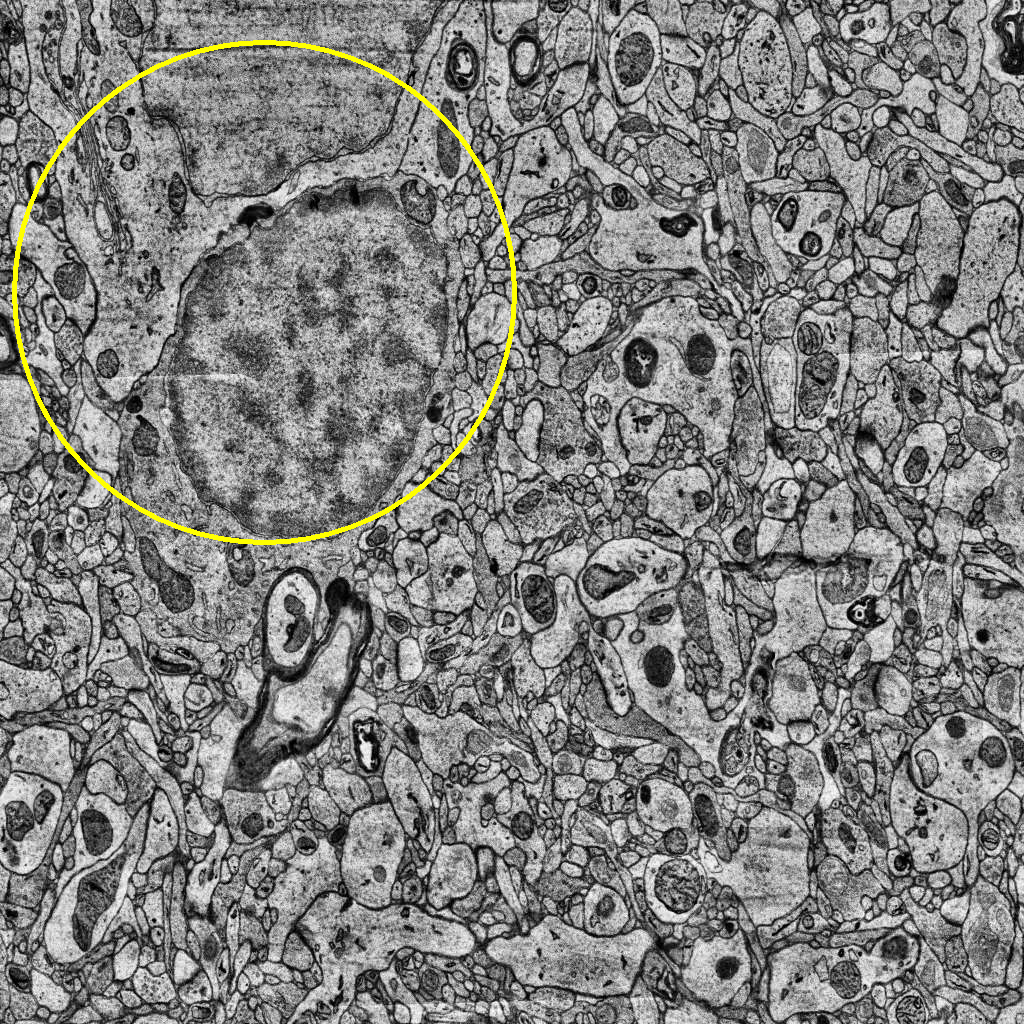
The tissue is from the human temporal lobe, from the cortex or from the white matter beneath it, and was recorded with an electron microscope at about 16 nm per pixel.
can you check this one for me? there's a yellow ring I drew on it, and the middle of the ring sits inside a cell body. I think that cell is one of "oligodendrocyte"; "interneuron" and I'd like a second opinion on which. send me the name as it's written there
oligodendrocyte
